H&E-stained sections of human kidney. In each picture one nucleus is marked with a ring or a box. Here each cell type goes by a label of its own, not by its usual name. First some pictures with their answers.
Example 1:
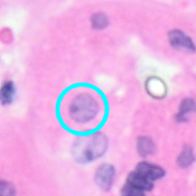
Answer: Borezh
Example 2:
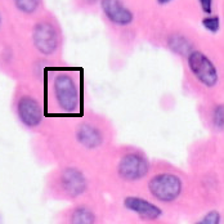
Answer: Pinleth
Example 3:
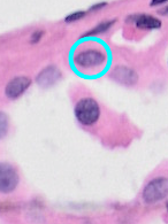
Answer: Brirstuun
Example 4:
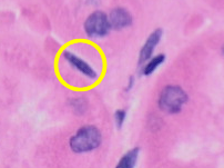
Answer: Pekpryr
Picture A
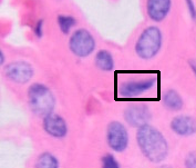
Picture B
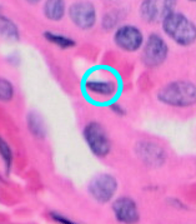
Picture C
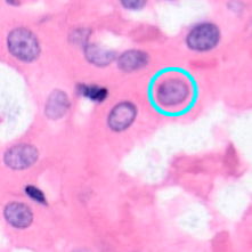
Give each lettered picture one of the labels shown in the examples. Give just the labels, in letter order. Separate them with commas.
Pekpryr, Pekpryr, Borezh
